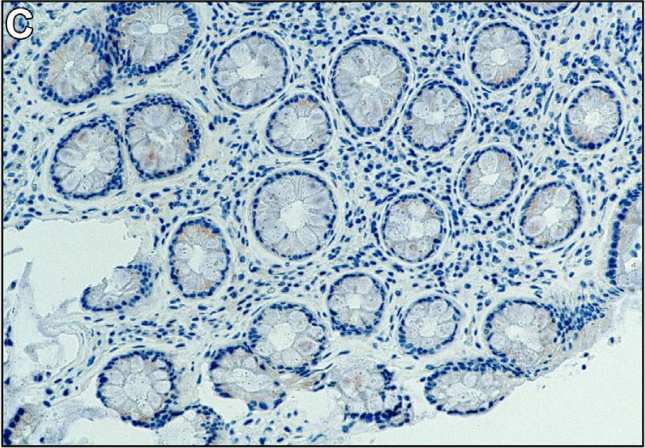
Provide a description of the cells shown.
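This is intestinal mucosa with glands cut across as round, evenly spaced profiles. Each gland is lined by columnar enterocytes and pale goblet cells arranged around a small central lumen. The nuclei are dark blue and sit at the base of the epithelium. The lamina propria between the glands is cellular and crowded with small blue nuclei. The epithelium and the lamina propria show little or no reddish-brown colour. The tissue looks mainly blue and grey, with only a faint tinge in a few cells. A torn free edge of the section lies at the lower left.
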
